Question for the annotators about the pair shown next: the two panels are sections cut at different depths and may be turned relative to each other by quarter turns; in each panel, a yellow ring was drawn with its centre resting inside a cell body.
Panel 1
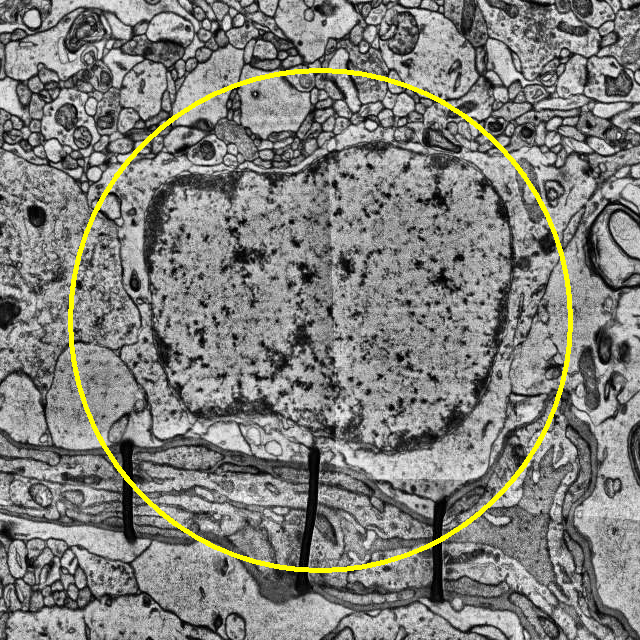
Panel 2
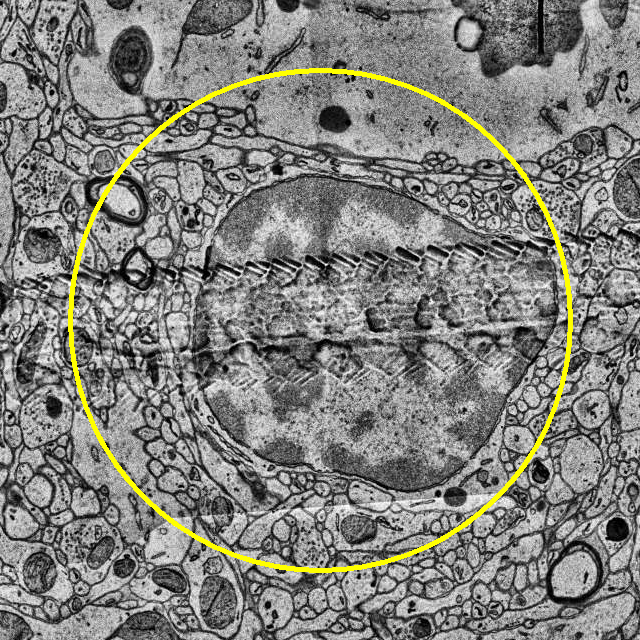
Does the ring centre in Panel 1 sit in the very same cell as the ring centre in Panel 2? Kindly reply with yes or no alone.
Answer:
no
